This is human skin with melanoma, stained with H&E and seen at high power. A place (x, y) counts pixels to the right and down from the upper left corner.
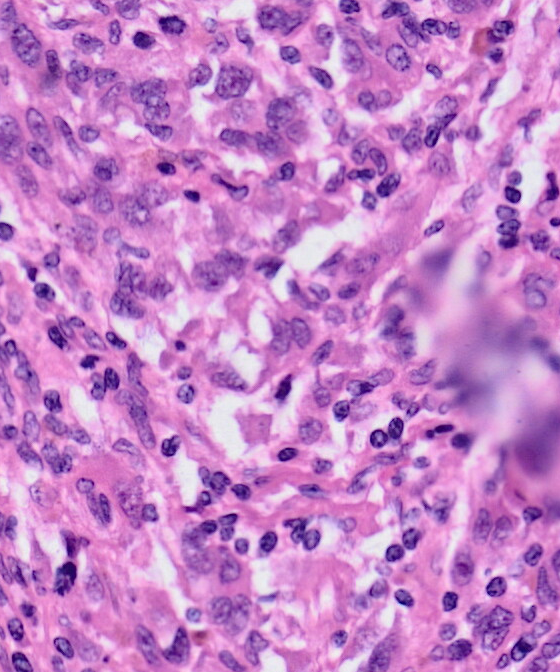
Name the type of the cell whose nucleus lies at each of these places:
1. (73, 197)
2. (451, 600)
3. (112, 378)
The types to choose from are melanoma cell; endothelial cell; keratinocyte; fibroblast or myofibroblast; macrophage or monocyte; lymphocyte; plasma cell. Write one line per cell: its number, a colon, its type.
1: melanoma cell
2: lymphocyte
3: lymphocyte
